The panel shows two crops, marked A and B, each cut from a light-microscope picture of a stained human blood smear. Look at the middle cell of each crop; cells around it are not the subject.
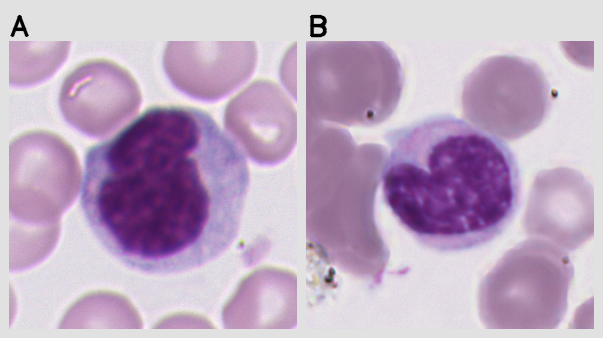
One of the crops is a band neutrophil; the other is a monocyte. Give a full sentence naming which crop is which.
Crop A has a monocyte at its centre, and crop B has a band neutrophil.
